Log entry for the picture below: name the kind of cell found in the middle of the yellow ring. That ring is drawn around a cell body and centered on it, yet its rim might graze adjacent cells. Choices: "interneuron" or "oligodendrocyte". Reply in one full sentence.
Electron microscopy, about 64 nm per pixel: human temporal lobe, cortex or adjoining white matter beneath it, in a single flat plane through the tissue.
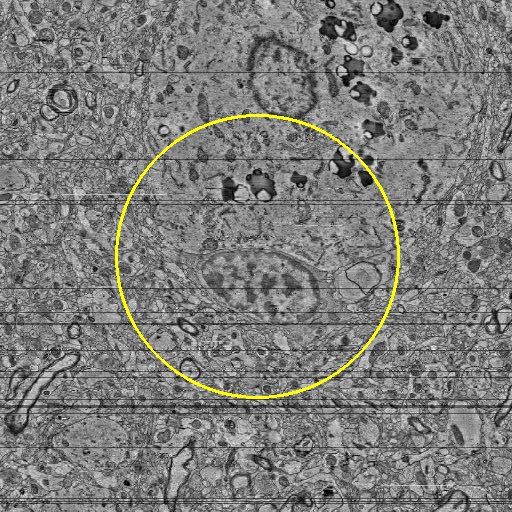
The cell in the middle of the yellow ring in this picture is an oligodendrocyte.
